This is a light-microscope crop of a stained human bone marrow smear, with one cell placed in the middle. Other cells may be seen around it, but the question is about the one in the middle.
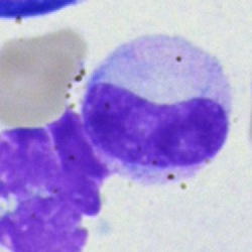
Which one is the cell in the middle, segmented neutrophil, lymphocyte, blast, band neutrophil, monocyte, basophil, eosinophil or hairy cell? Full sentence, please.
As for the central cell, it is a band neutrophil.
